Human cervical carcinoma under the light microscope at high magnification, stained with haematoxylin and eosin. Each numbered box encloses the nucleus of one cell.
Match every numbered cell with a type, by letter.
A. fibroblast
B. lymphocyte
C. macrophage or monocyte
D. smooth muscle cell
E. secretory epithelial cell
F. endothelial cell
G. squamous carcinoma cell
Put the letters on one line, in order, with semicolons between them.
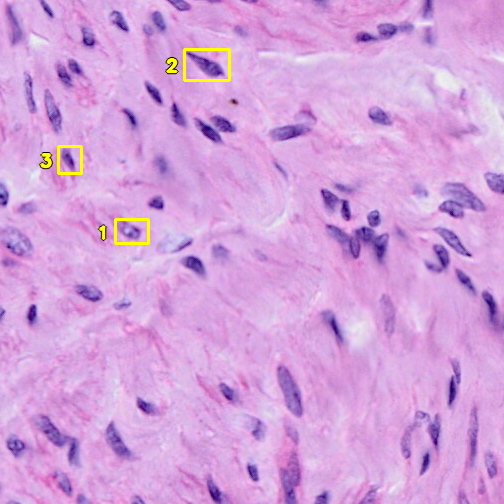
D; A; D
